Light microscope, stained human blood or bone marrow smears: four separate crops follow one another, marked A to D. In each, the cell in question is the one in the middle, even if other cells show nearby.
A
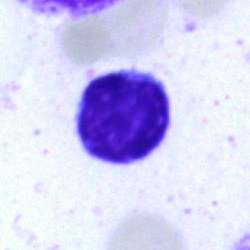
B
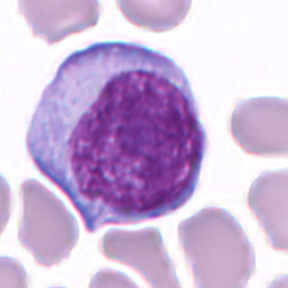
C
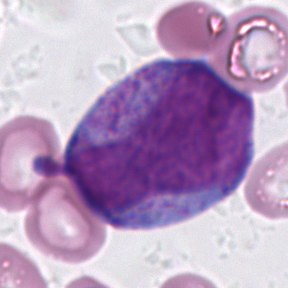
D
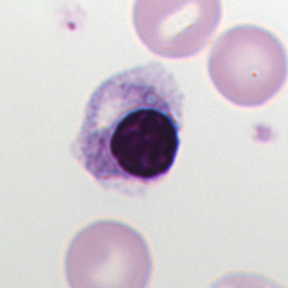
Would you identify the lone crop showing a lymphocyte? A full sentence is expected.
The crop marked A is the one in which a lymphocyte is shown.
